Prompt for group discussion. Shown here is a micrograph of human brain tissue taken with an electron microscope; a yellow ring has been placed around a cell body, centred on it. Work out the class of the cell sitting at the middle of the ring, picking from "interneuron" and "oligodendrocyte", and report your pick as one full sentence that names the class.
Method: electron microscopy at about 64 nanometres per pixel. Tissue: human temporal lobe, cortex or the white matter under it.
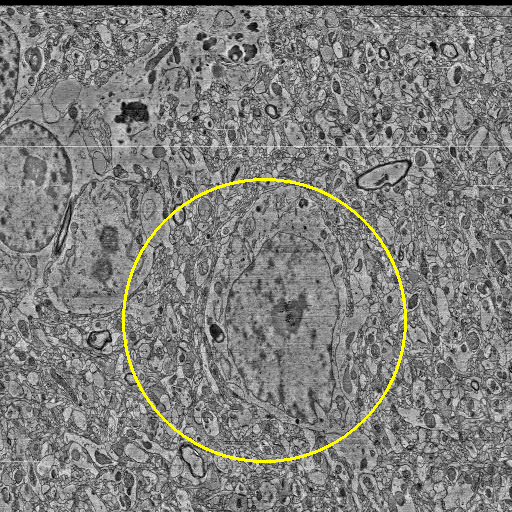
The cell sitting at the middle of the yellow ring is an interneuron.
